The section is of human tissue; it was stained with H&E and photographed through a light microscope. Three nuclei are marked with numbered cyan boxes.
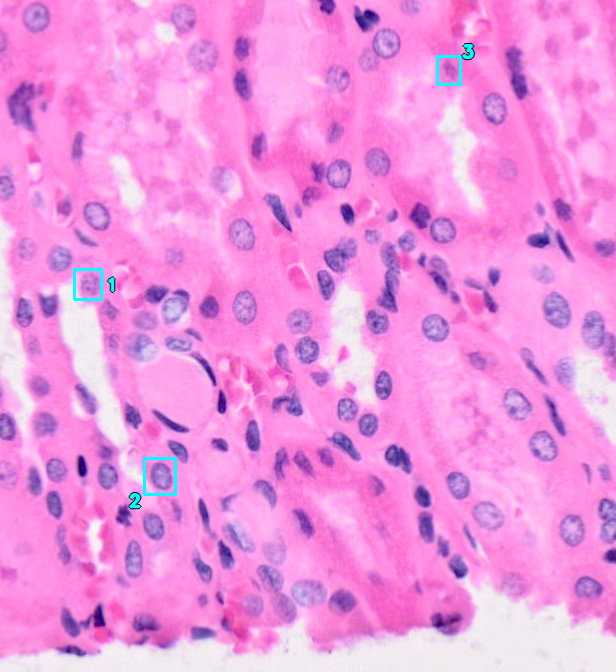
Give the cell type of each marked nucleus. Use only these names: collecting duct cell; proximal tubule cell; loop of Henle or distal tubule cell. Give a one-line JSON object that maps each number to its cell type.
{"1": "loop of Henle or distal tubule cell", "2": "loop of Henle or distal tubule cell", "3": "proximal tubule cell"}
